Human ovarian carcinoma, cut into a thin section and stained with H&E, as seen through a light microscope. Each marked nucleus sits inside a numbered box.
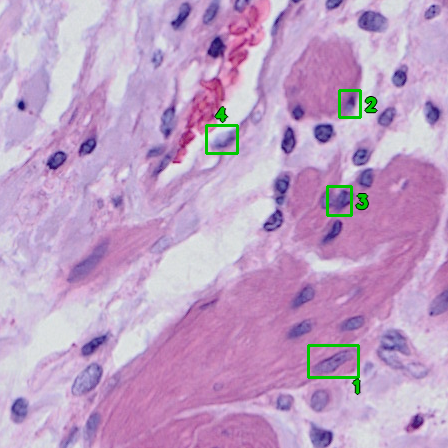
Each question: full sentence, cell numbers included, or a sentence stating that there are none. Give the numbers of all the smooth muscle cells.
The cells tagged with numbers 1, 2 and 3 are smooth muscle cells.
